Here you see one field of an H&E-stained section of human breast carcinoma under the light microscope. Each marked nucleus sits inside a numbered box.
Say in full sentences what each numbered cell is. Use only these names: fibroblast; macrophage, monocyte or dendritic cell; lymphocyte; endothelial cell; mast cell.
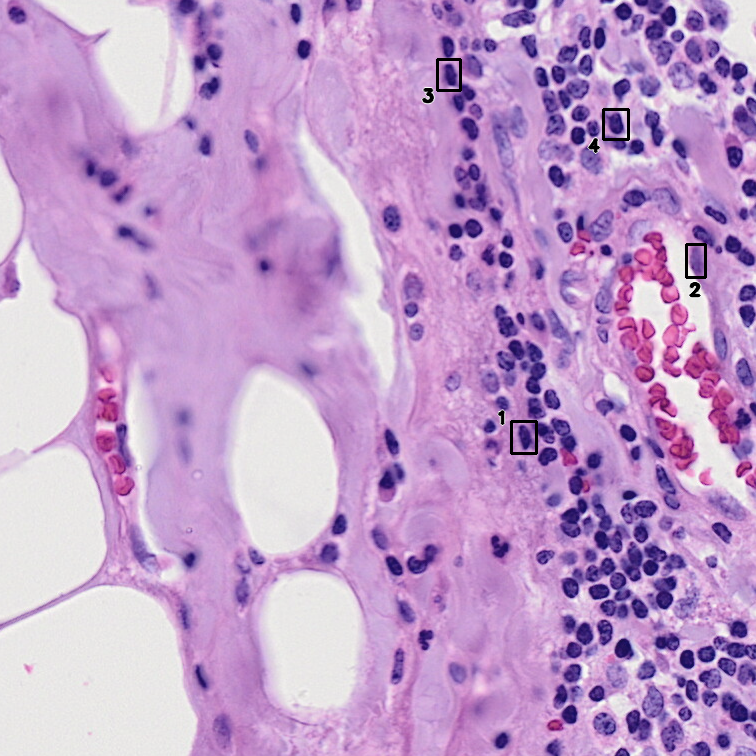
Cell 1 is a lymphocyte, cell 2 is an endothelial cell, cell 3 is a lymphocyte and cell 4 is a lymphocyte.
